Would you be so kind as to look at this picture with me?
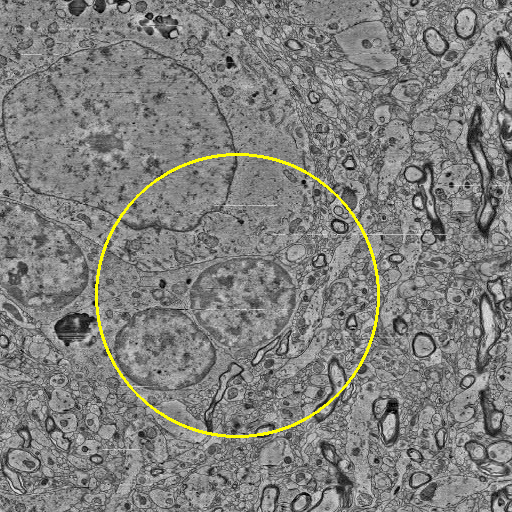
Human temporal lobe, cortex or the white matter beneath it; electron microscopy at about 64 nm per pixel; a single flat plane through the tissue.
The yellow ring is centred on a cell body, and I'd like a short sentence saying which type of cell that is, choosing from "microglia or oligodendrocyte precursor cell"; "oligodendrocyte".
The cell body in the ring belongs to an oligodendrocyte.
